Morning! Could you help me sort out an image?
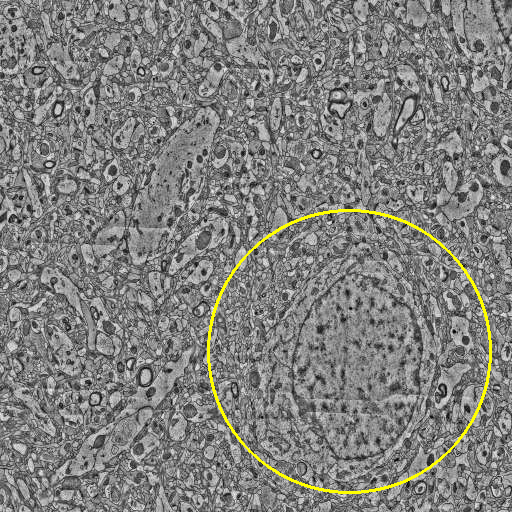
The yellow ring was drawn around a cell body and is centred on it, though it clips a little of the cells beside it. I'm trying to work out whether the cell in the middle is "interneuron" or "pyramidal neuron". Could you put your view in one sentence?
The ringed cell body is that of an interneuron.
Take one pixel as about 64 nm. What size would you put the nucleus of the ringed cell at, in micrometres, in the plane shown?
The nucleus comes to roughly 12 by 8 micrometres in this plane.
